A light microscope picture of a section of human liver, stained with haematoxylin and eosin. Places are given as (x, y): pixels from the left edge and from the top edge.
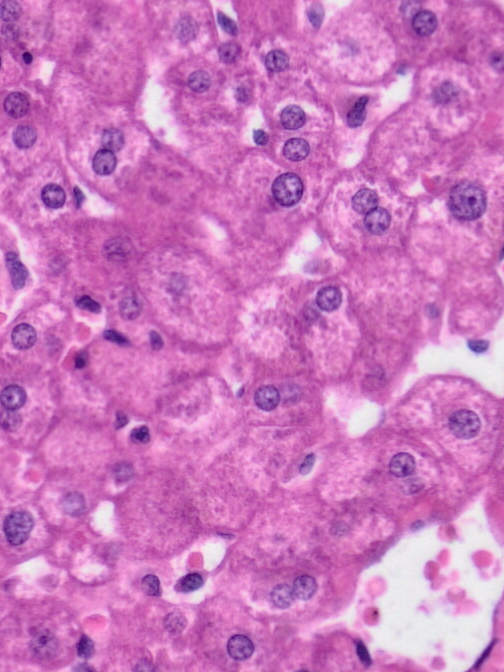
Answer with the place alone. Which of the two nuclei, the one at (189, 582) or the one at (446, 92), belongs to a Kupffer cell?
(189, 582)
